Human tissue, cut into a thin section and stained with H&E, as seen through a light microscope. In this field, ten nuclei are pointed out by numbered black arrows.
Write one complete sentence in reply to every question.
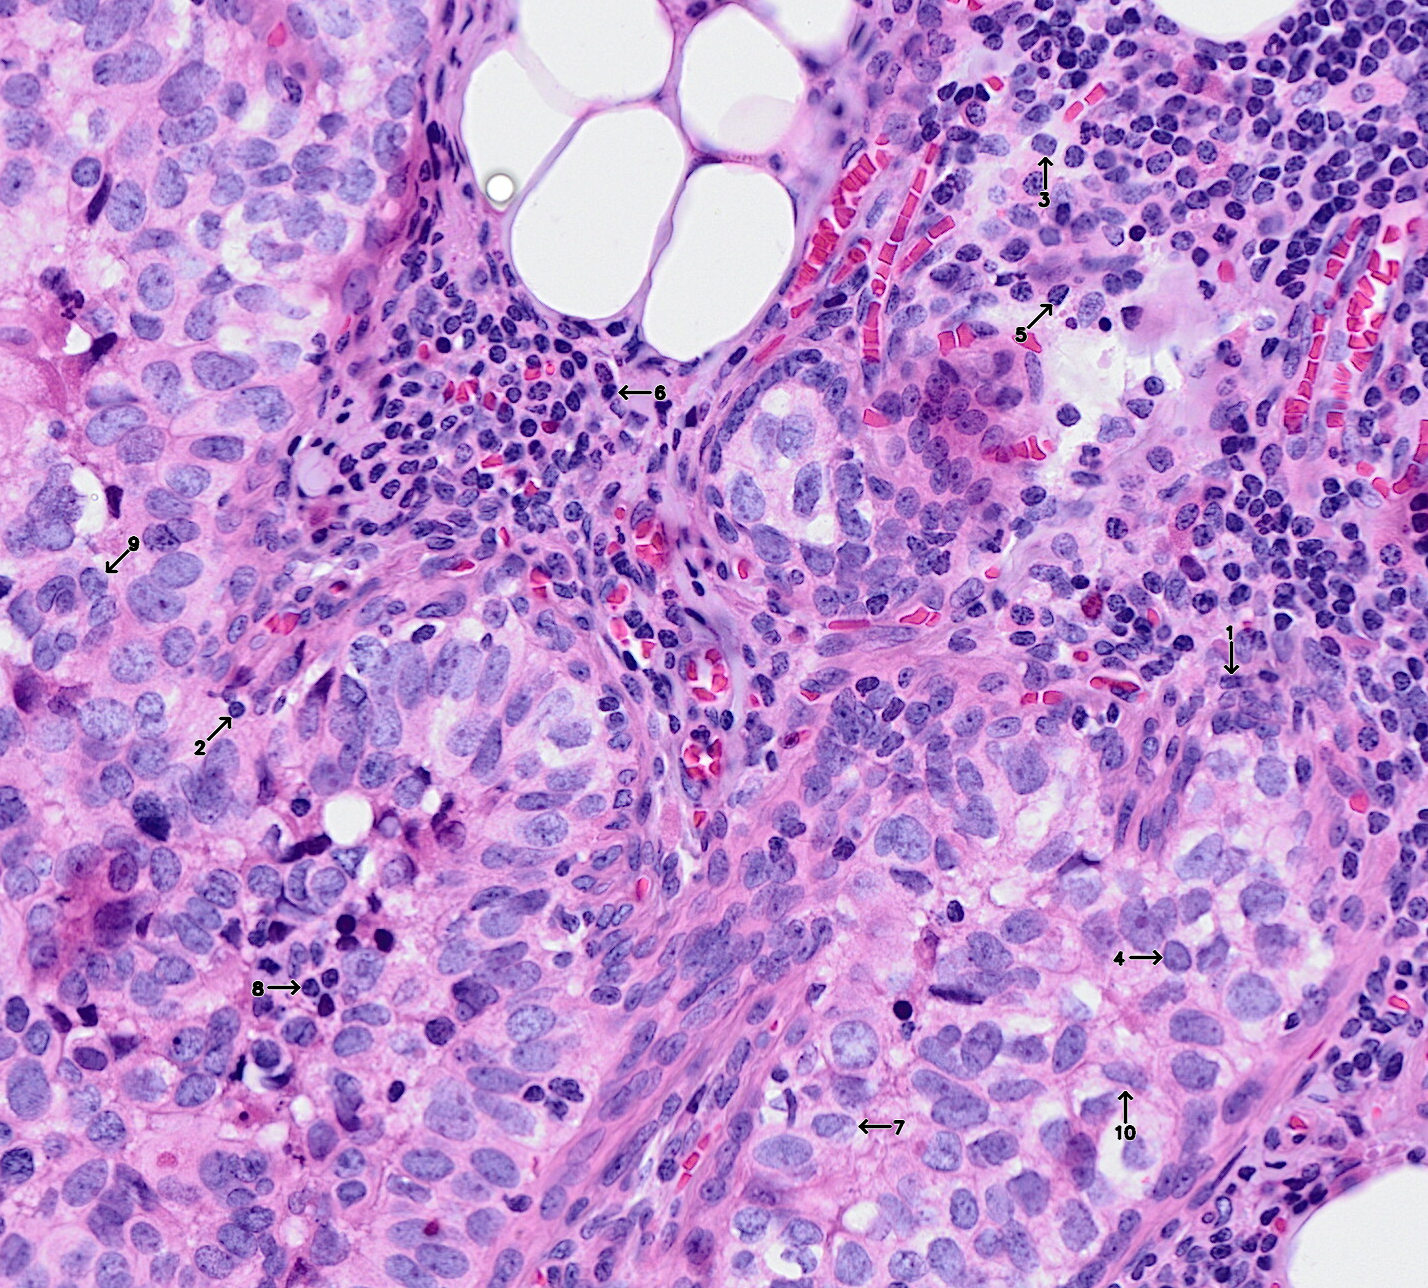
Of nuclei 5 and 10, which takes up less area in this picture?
The smaller nucleus is 5, and 10 covers roughly 2.5 times its area.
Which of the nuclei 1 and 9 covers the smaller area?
Nucleus 1 is the smaller one; nucleus 9 covers about 2.5 times its area.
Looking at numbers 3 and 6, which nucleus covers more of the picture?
It is nucleus 3, which covers about 2 times the area of nucleus 6.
